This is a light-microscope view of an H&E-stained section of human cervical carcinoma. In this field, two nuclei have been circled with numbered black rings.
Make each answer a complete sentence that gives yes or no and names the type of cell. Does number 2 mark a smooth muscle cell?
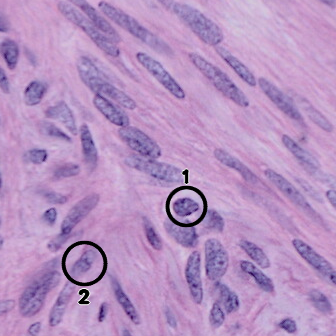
Yes, the cell marked by the number 2 is a smooth muscle cell.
